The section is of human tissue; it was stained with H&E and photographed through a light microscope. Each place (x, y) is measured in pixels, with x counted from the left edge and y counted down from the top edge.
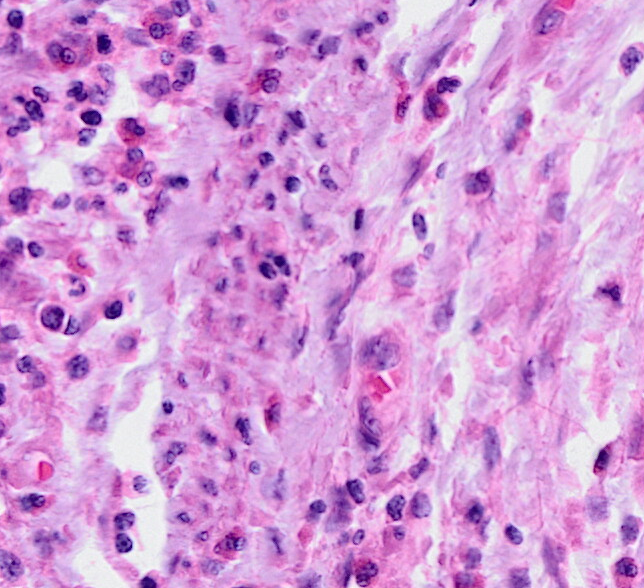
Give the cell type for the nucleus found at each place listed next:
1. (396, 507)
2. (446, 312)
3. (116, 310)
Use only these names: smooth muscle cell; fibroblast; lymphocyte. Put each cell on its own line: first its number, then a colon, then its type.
1: lymphocyte
2: fibroblast
3: lymphocyte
